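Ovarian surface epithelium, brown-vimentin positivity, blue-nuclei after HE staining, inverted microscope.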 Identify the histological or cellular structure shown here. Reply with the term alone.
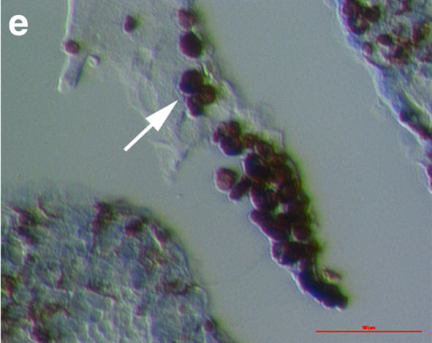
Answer: clusters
